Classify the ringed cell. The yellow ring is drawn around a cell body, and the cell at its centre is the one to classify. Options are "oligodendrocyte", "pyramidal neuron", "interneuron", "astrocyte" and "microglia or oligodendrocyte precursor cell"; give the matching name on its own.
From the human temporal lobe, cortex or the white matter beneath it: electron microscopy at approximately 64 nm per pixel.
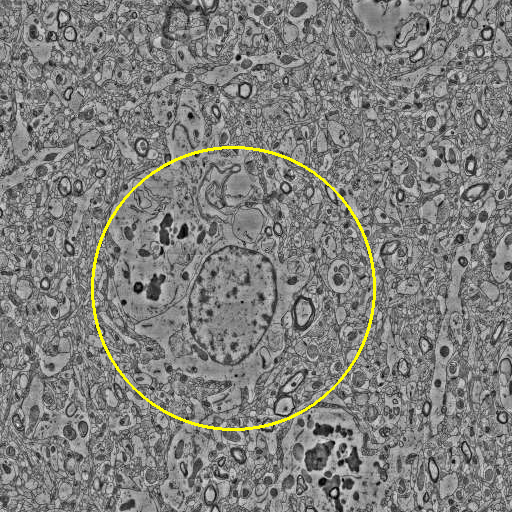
astrocyte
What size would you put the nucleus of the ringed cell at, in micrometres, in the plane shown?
The nucleus is approximately 8 micrometers long by 6 micrometers wide in this plane.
